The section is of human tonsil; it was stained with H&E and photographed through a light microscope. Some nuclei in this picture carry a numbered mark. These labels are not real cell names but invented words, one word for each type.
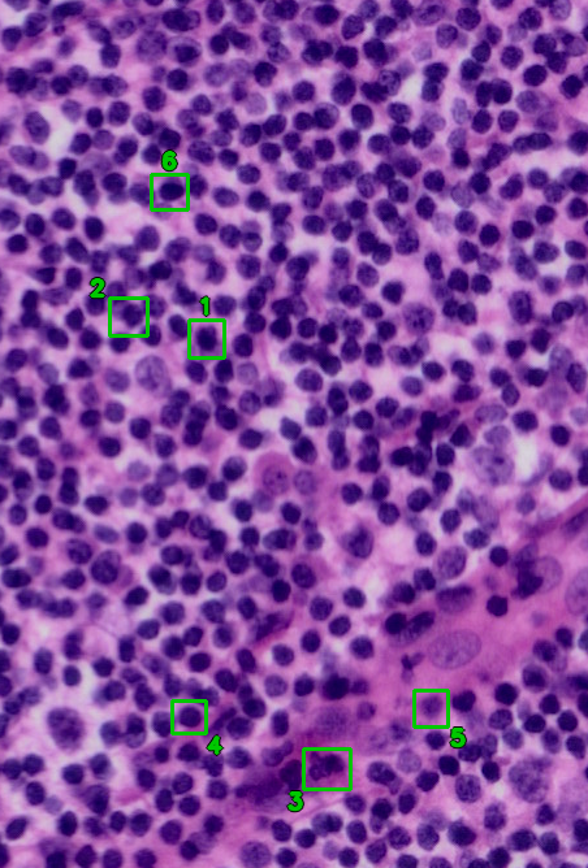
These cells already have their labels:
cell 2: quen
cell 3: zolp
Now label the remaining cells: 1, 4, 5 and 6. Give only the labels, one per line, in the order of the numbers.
quen
quen
zolp
quen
